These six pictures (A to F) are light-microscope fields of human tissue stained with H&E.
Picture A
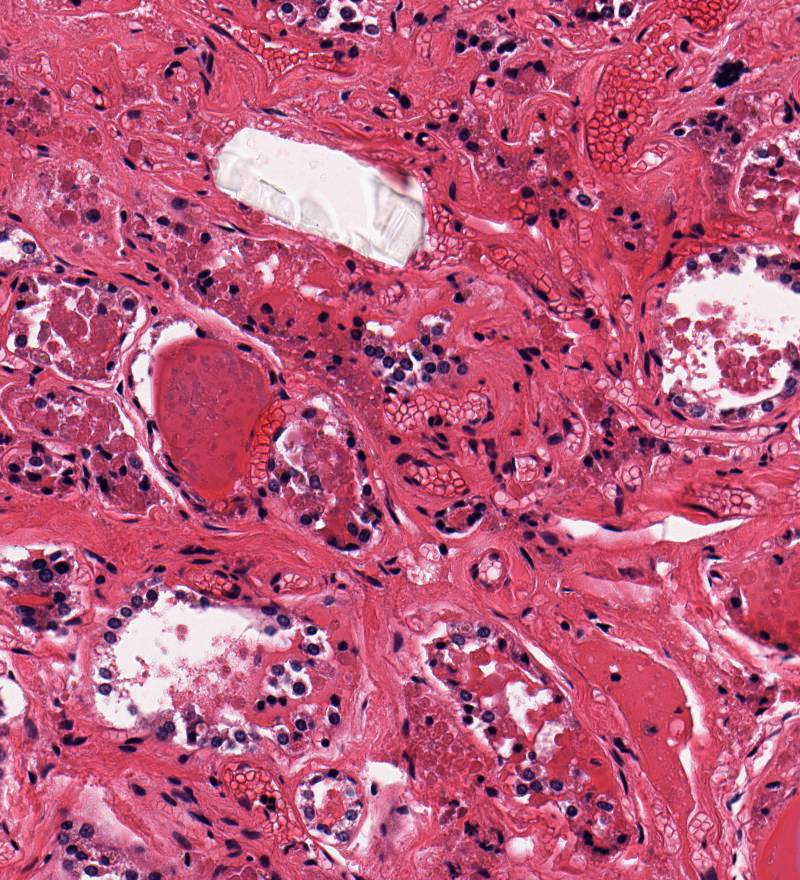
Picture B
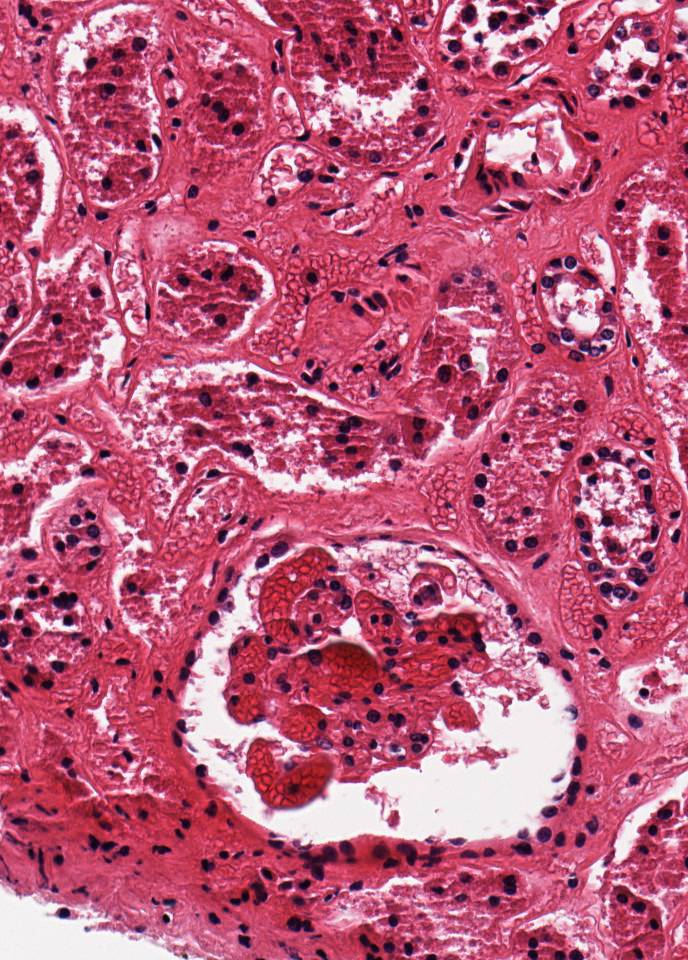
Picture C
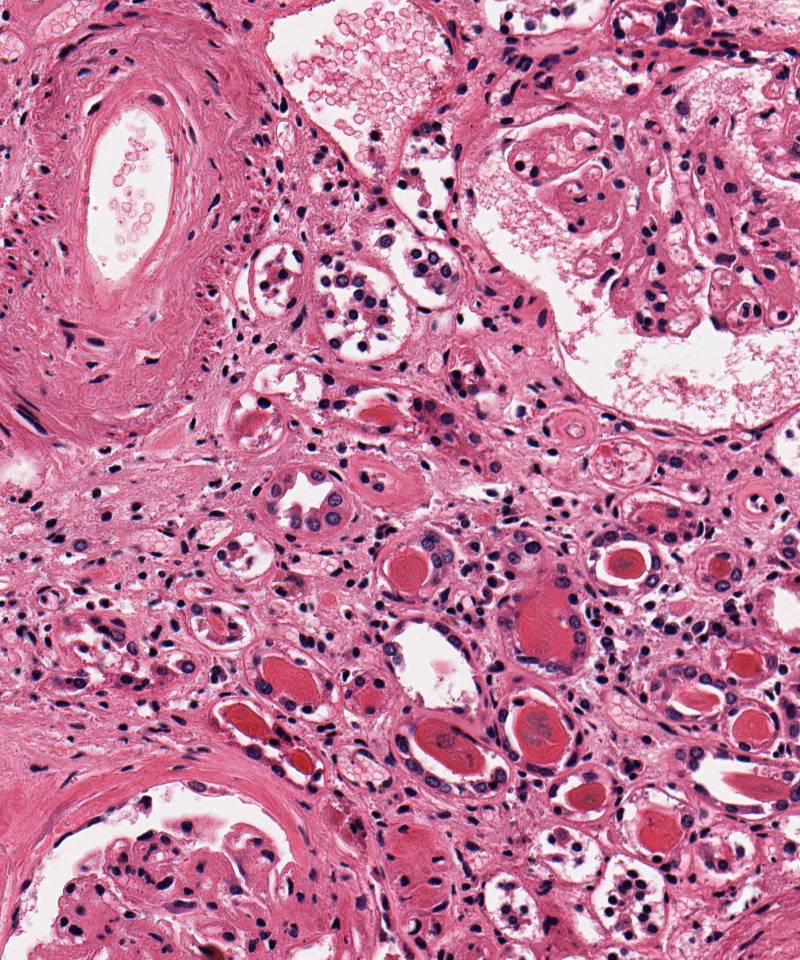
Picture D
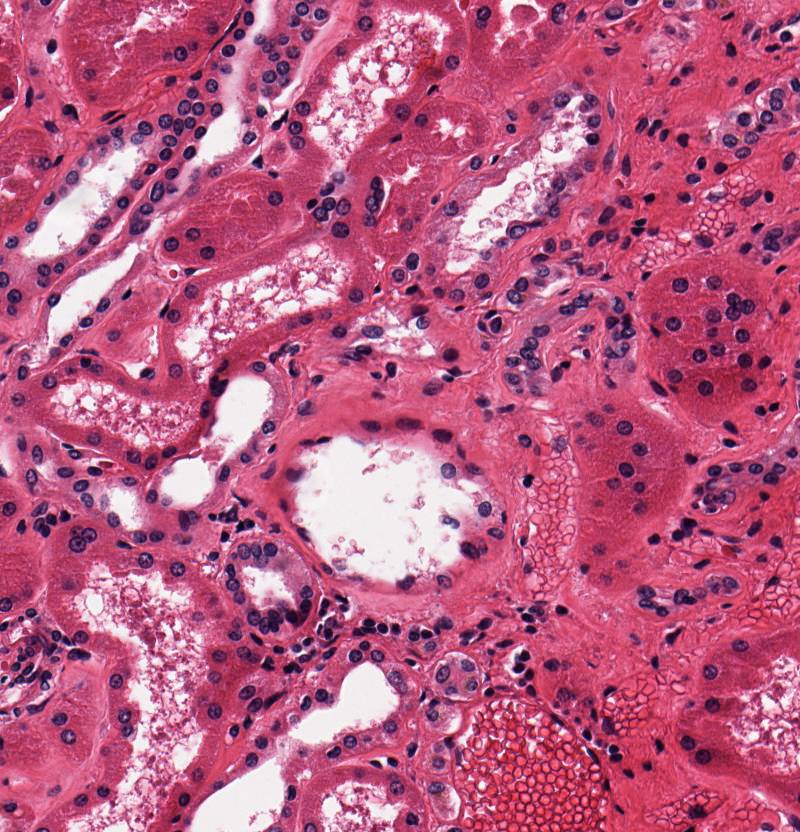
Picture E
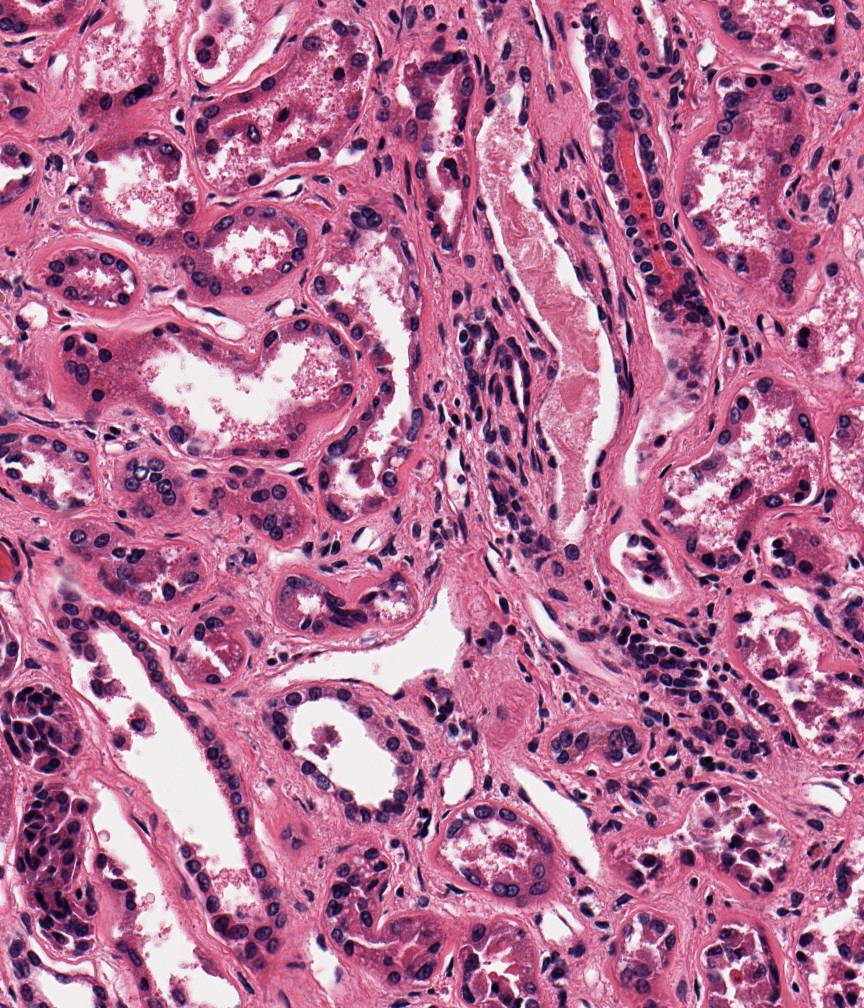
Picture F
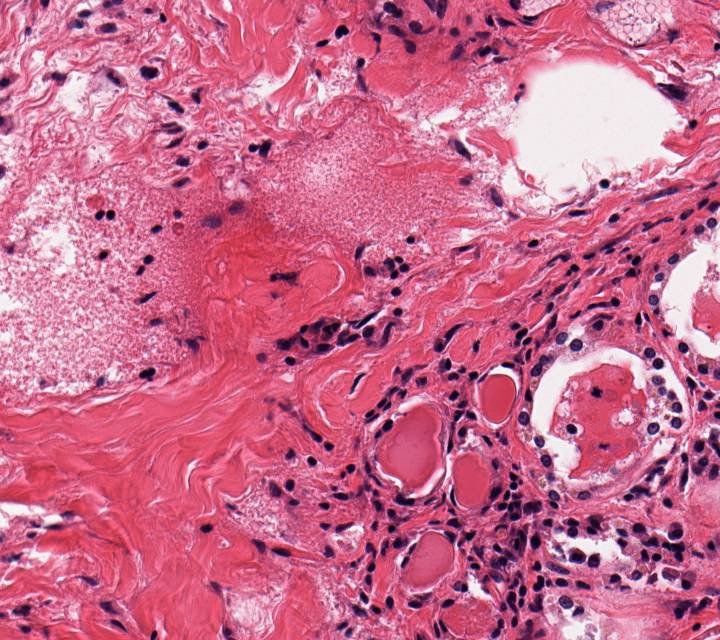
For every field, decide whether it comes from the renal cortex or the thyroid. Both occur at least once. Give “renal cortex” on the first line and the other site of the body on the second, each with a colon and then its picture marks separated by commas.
renal cortex: B, C, D, E
thyroid: A, F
